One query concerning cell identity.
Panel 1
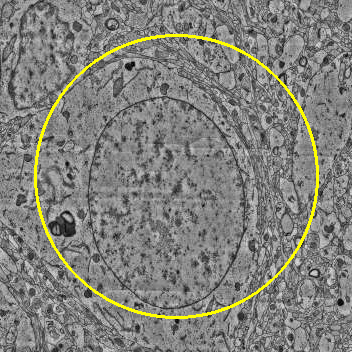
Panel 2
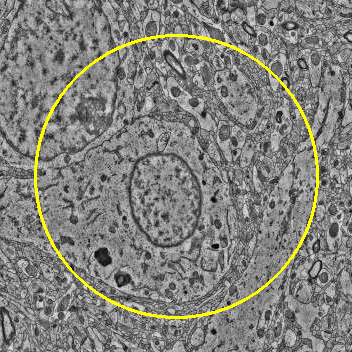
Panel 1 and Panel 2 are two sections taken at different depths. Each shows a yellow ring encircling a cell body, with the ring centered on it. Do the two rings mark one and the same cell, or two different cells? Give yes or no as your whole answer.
yes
